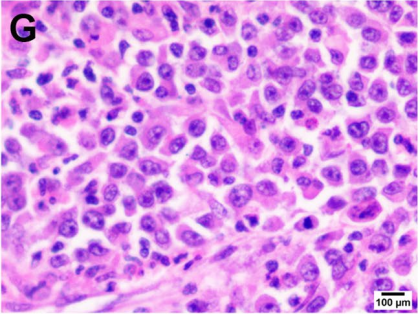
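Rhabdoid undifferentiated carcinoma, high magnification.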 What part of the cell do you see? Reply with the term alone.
Prominent nucleoli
